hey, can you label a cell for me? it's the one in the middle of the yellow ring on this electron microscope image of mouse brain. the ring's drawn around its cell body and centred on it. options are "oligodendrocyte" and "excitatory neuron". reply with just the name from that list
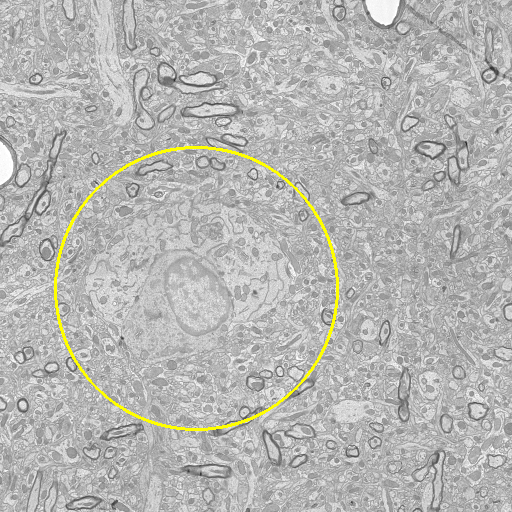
oligodendrocyte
